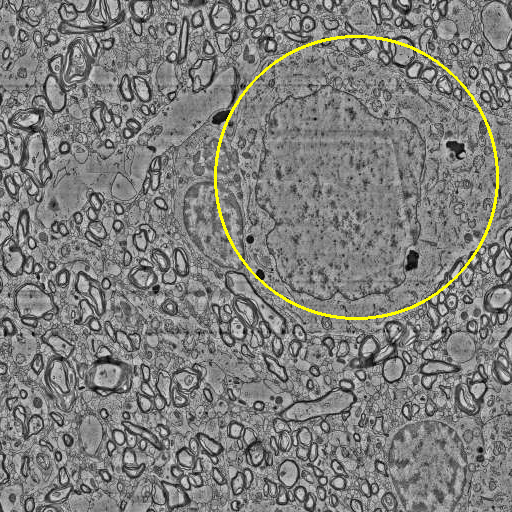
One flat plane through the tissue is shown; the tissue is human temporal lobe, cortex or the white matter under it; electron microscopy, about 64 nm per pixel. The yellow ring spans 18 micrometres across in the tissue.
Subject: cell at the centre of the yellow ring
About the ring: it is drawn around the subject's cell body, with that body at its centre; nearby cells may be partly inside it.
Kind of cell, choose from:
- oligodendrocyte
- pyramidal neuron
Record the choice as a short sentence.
The subject cell is a pyramidal neuron.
